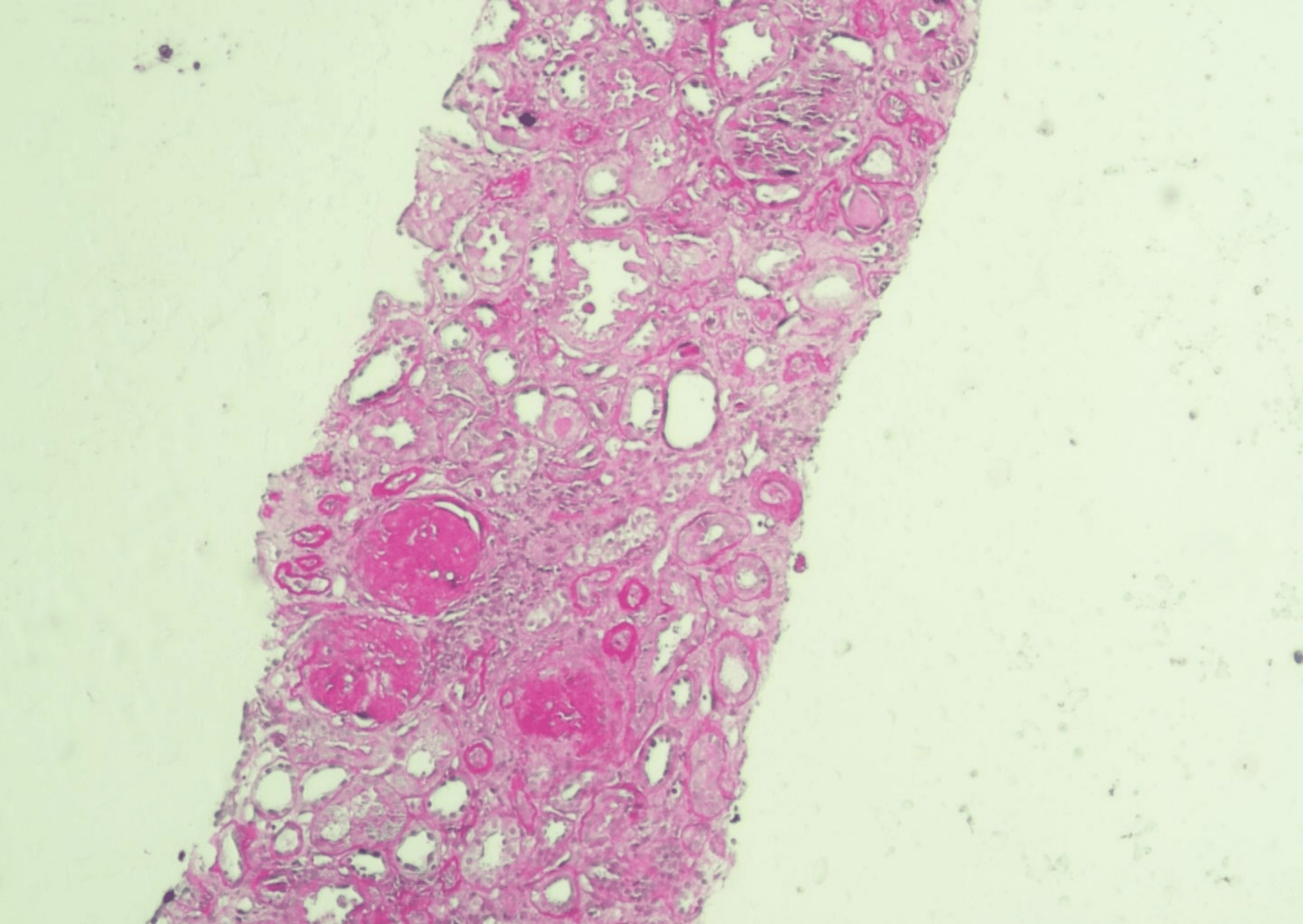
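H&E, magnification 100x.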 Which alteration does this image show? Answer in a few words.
Globally sclerosed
